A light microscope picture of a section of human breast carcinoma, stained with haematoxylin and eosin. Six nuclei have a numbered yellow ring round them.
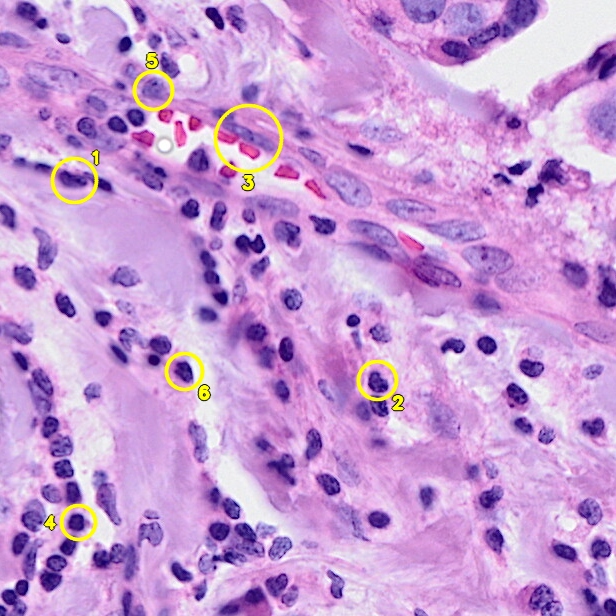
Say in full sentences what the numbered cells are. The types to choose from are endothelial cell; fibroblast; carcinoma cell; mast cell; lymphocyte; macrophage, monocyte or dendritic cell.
Cells 1, 2, 4 and 6 are lymphocytes. Cells 3 and 5 are endothelial cells.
